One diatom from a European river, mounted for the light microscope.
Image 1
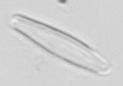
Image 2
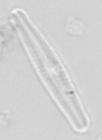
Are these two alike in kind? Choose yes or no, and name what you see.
Yes. Achnanthidium.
